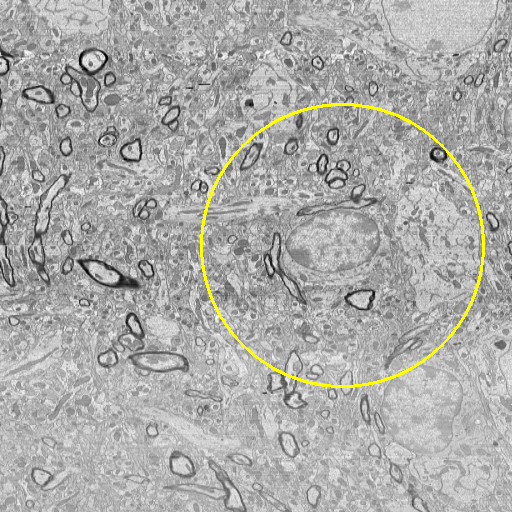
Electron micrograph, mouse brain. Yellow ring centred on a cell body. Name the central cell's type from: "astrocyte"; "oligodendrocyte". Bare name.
oligodendrocyte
